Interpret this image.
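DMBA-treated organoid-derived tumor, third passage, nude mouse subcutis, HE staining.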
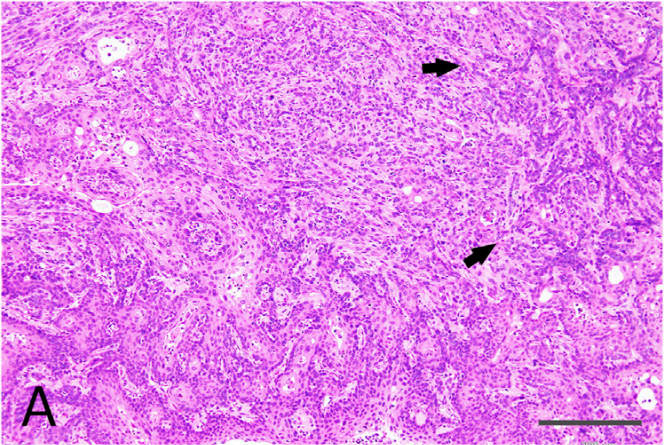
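This tumour is mostly squamous cell carcinoma: broad nests and sheets of polygonal cells with pink cytoplasm and purple nuclei, divided by thin bands of stroma. Toward the upper right the pattern changes into smaller, more crowded cords and tubule-like structures, where a remnant of gland-forming carcinoma lies next to the squamous part.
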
